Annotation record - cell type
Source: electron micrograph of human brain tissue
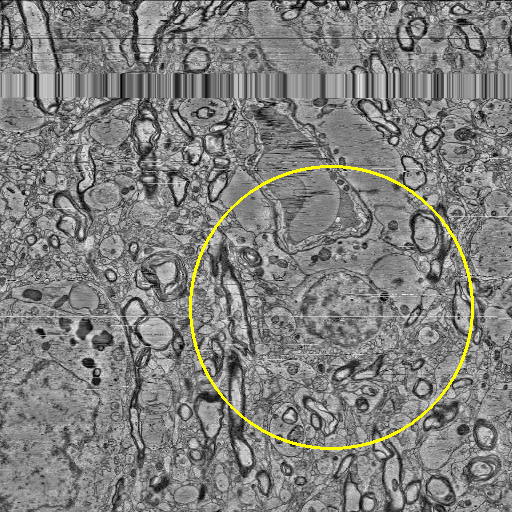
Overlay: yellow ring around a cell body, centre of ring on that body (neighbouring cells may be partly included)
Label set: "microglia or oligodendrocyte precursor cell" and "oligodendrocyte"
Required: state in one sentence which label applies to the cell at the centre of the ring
This cell should be labelled as an oligodendrocyte.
